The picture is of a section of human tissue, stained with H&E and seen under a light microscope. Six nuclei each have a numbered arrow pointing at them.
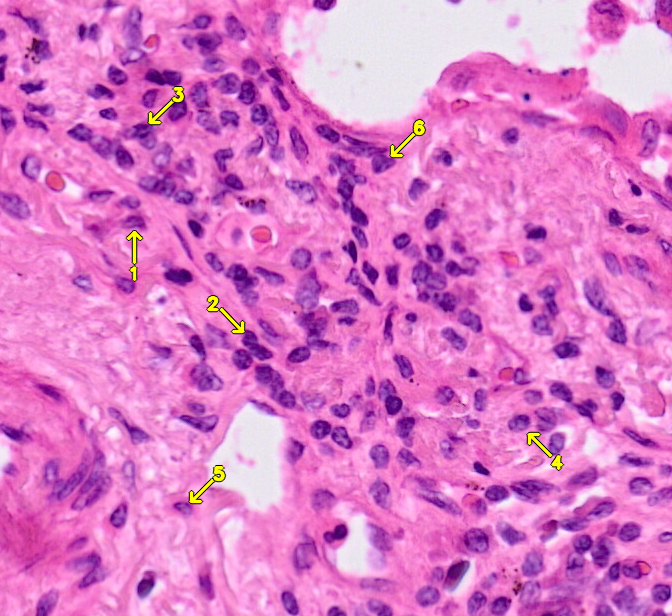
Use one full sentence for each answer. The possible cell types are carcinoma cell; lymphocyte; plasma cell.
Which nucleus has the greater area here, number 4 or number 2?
The larger nucleus is 4, at roughly 1.5 times the area of 2.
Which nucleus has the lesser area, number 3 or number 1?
Nucleus 1 is the smaller one; nucleus 3 covers about 1.5 times its area.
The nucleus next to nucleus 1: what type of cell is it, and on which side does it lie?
It is a plasma cell, whose nucleus lies above nucleus 1.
